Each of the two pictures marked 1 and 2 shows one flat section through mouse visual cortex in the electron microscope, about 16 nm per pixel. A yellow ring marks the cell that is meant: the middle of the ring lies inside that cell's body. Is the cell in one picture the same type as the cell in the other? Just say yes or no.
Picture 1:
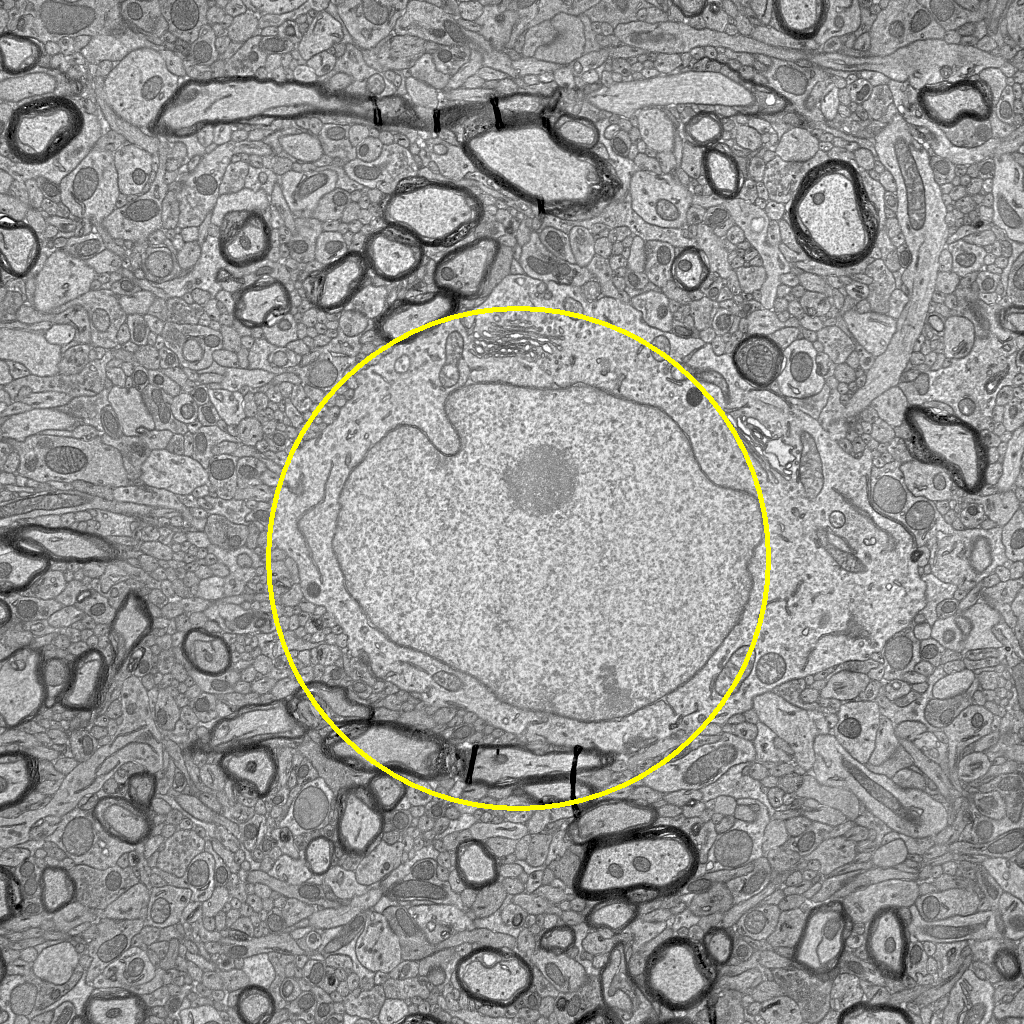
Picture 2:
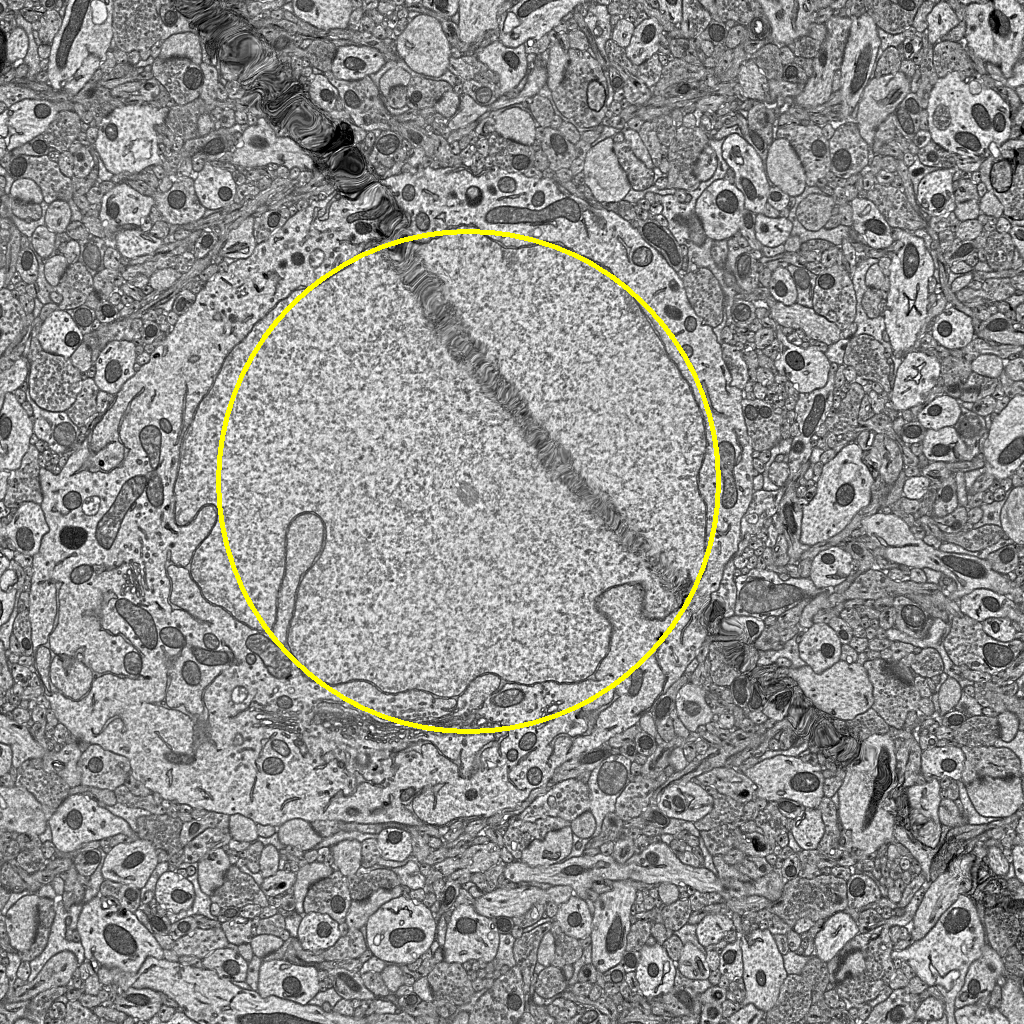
no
